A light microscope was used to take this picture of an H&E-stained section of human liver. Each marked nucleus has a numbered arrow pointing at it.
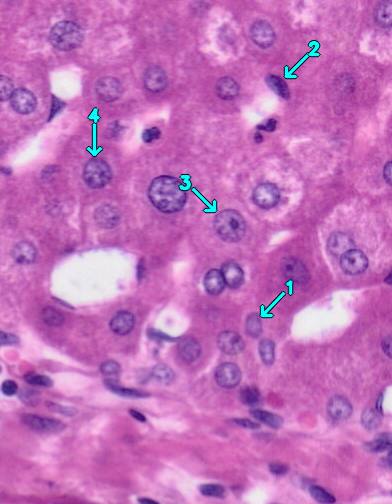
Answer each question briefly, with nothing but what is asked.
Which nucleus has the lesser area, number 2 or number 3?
2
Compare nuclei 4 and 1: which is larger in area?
4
